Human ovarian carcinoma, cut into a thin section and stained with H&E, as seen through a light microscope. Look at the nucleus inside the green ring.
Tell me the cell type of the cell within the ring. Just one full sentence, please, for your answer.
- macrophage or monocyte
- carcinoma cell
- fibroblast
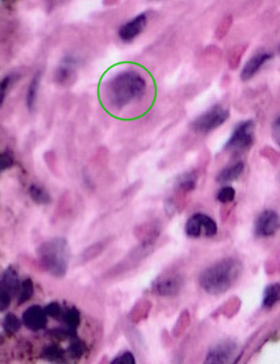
The expected answer is simply that the cell within the ring is a fibroblast.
